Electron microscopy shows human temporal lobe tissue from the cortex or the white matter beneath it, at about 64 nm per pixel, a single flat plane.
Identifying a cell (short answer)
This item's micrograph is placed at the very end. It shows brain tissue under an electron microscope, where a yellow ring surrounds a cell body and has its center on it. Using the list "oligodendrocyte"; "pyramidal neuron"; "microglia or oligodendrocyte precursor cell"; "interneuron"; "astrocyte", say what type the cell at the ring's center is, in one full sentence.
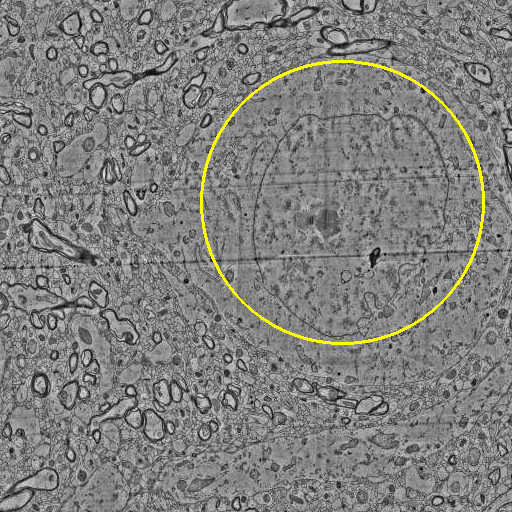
This picture shows a pyramidal neuron at the center of the yellow ring drawn on it.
